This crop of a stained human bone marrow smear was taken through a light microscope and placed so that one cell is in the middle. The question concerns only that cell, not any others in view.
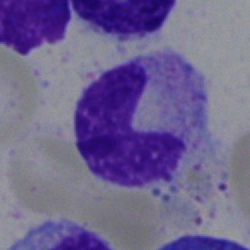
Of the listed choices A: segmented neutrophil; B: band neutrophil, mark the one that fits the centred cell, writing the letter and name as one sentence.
The middle cell of the crop is a band neutrophil; accordingly, option B is correct.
